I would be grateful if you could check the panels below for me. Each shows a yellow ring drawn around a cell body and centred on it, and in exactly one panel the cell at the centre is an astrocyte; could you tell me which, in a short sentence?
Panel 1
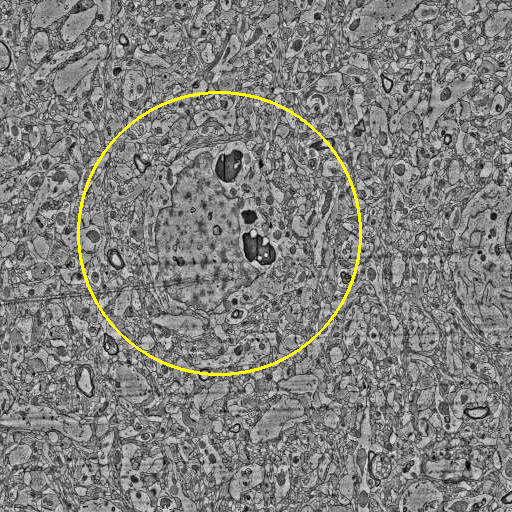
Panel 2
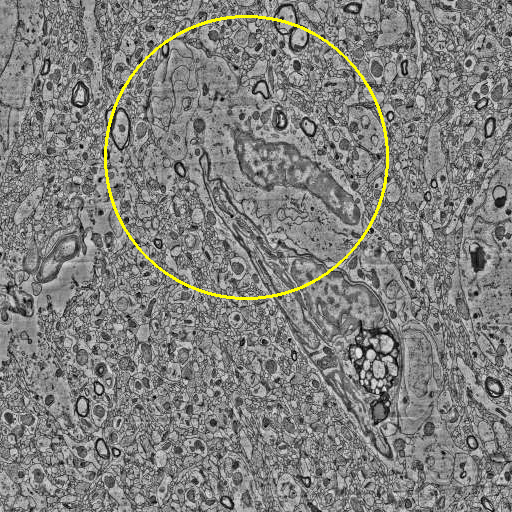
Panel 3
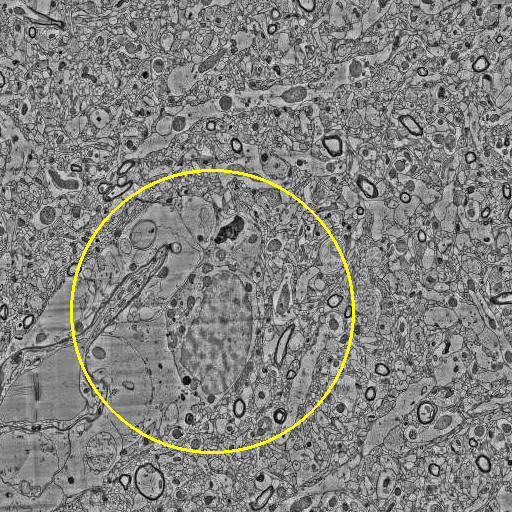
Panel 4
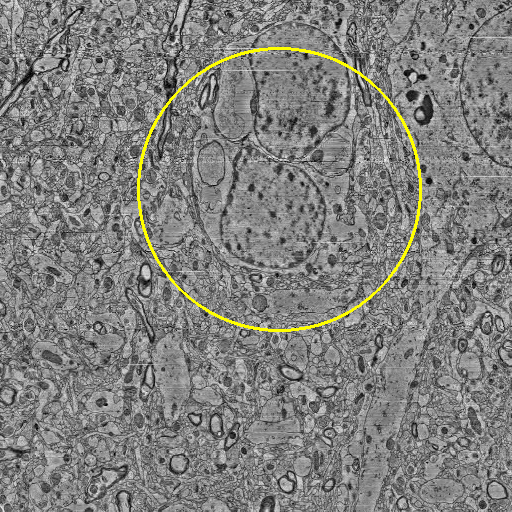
The ring in Panel 4 is centred on it.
